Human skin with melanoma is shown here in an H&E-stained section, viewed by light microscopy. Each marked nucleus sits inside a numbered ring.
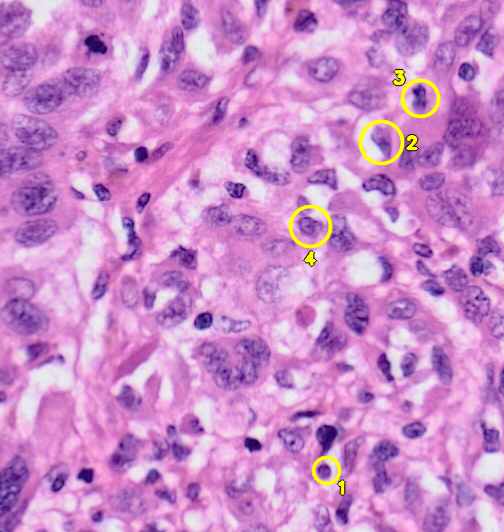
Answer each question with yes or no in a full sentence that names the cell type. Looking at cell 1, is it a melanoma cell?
No, cell 1 is not a melanoma cell; a lymphocyte is the correct identification.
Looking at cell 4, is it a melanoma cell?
Yes. The cell carrying number 4 is a melanoma cell.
